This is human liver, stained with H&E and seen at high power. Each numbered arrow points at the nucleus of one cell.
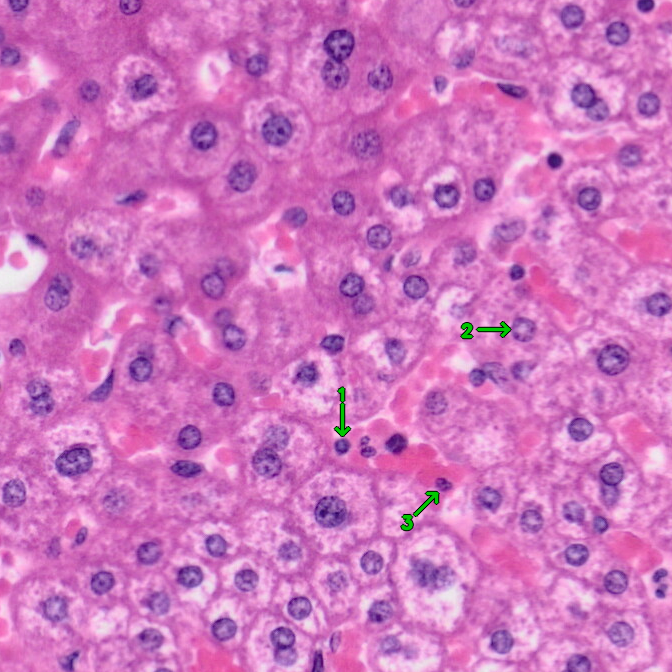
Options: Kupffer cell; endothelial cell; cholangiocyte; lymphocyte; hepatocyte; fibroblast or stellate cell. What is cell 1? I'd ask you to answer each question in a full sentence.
Belonging to a lymphocyte is the nucleus that carries the number 1.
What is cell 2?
The cell pointed out by number 2 is a hepatocyte.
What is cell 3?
The cell referenced by the number 3 is a lymphocyte in this field.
